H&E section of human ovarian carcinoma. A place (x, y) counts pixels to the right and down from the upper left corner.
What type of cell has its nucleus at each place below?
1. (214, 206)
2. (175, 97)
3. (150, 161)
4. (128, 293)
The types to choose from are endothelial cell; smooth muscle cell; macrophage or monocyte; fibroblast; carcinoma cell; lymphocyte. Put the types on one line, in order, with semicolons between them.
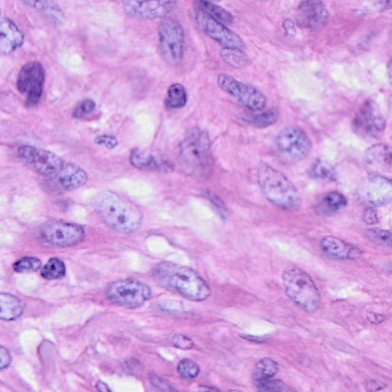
fibroblast; macrophage or monocyte; fibroblast; fibroblast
